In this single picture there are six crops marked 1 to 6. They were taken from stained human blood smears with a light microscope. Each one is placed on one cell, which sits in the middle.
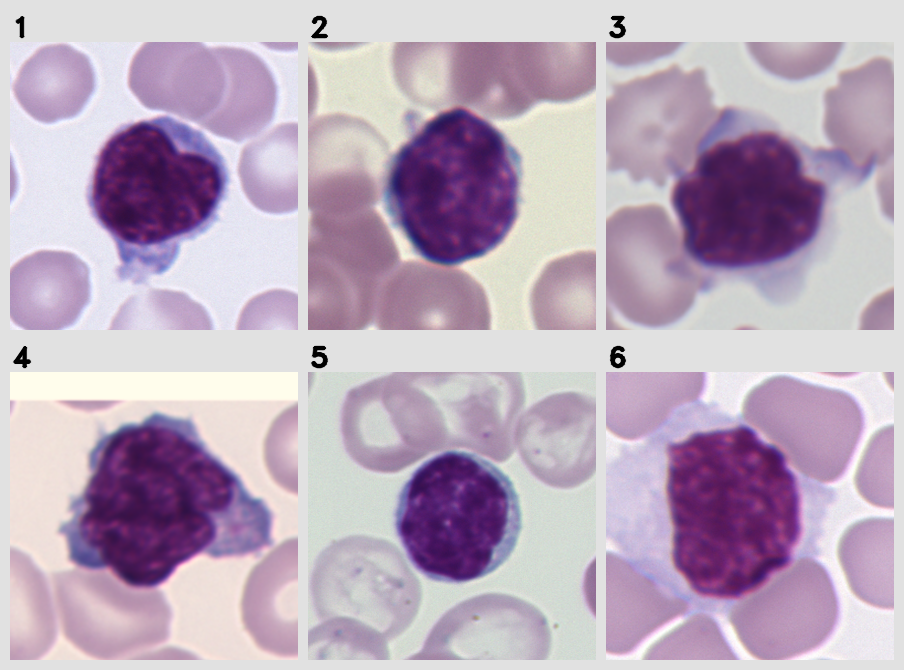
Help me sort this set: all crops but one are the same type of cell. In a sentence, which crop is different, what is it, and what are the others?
Crop 6 breaks the pattern as a hairy cell; the other crops all contain typical lymphocytes.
